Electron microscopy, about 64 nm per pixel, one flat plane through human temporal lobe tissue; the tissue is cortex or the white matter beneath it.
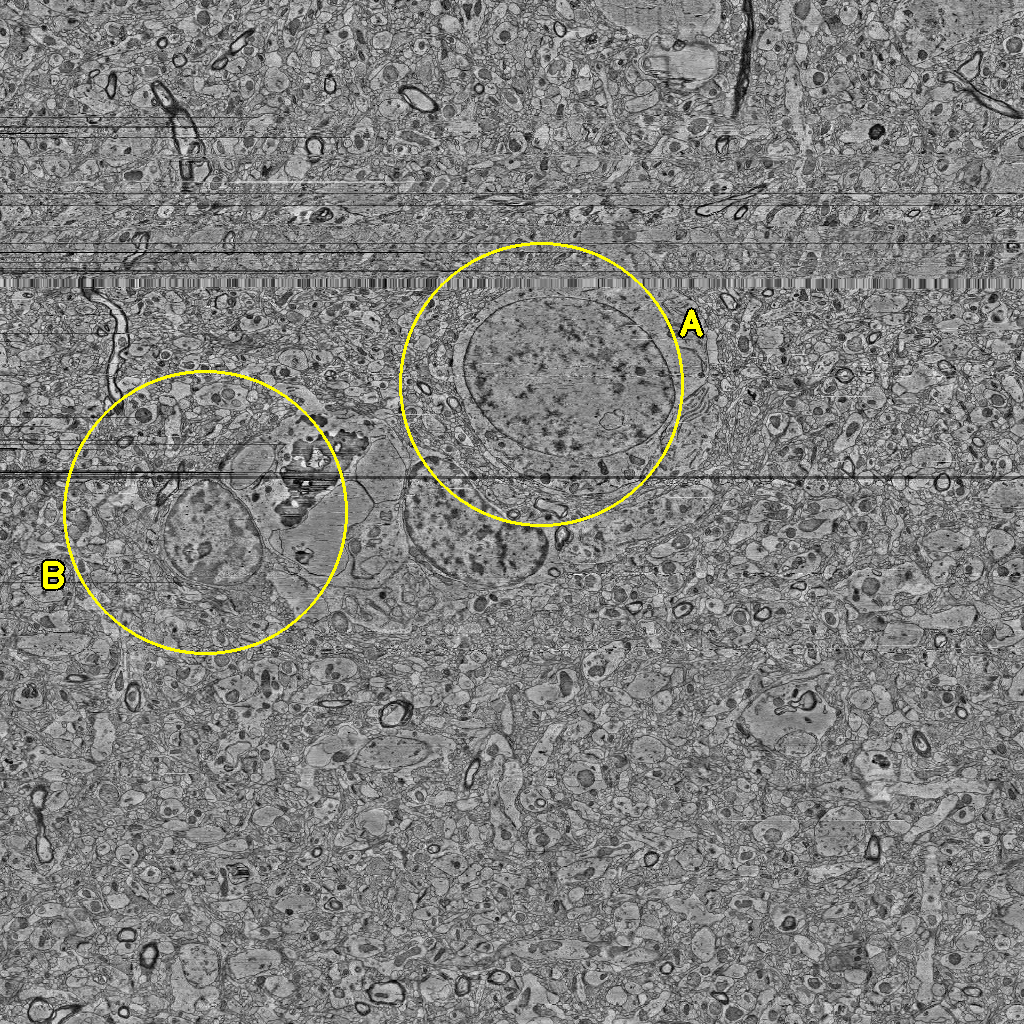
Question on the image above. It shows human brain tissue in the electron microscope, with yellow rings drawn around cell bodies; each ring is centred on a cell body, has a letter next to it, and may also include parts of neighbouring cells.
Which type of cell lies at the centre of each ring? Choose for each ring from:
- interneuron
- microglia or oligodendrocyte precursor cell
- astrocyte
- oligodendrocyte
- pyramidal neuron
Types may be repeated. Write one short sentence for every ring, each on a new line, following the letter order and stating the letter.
Ring A has been drawn around a pyramidal neuron.
Ring B has been drawn around an oligodendrocyte.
